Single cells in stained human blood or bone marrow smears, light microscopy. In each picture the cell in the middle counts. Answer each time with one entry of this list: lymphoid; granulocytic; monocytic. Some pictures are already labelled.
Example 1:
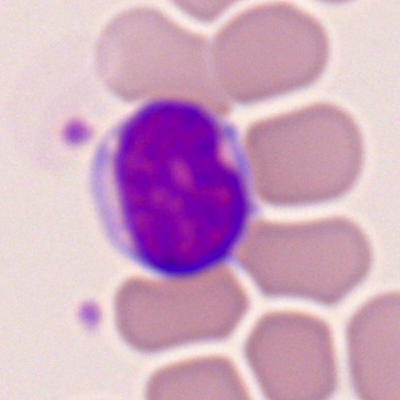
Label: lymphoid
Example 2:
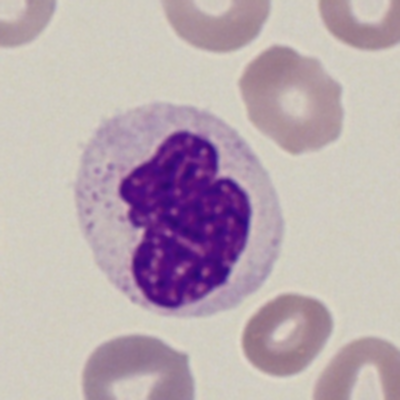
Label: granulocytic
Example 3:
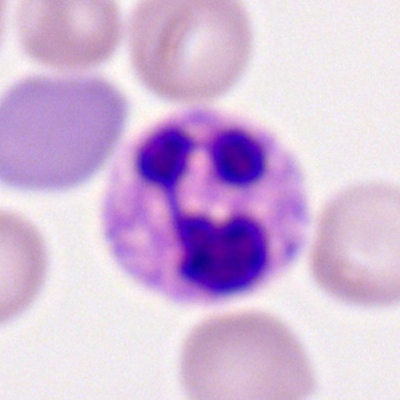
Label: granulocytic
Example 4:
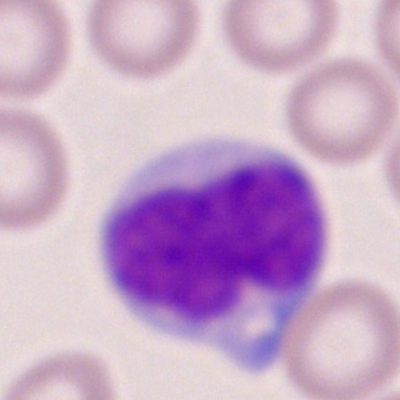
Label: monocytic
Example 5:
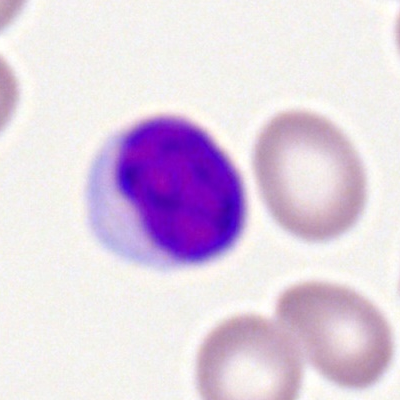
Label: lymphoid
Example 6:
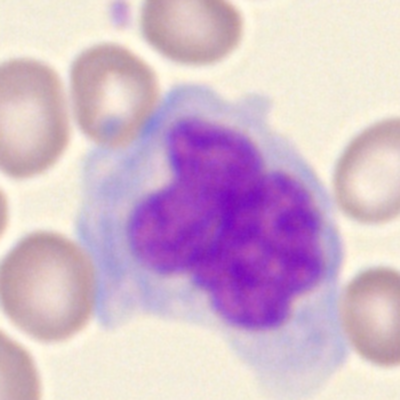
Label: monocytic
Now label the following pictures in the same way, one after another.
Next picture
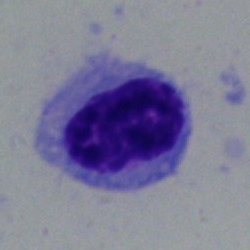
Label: lymphoid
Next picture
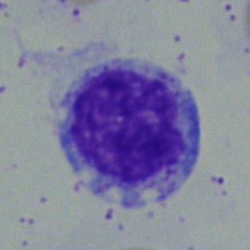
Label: monocytic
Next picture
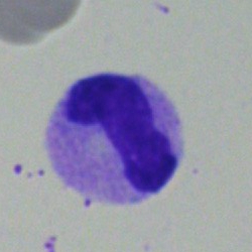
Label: granulocytic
